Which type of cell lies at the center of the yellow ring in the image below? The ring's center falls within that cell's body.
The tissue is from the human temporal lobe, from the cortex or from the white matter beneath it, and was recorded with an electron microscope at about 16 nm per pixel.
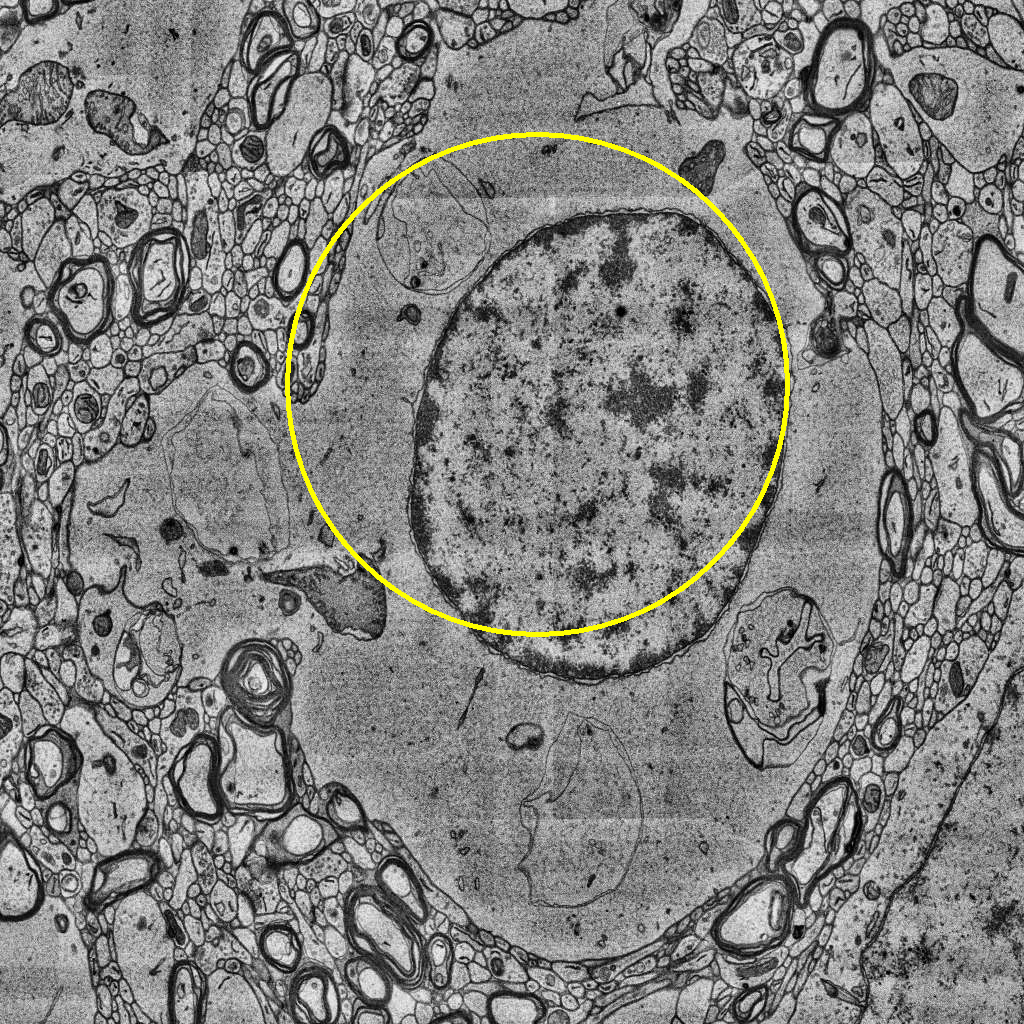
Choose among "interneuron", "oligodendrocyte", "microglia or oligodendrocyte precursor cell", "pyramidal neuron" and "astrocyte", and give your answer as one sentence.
The cell body at the center belongs to an astrocyte.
